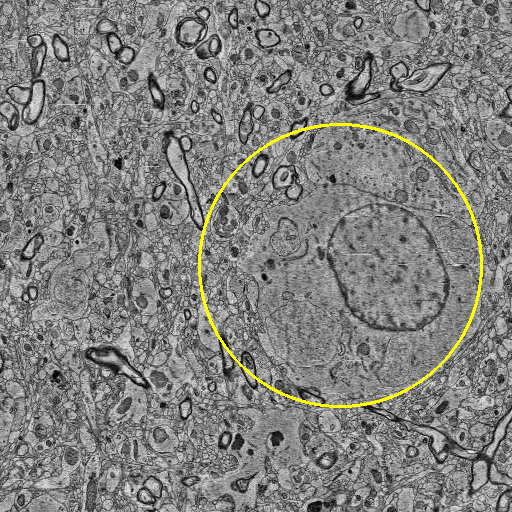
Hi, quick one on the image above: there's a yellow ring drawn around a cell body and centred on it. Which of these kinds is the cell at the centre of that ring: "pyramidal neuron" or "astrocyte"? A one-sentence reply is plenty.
The cell at the centre of the ring is an astrocyte.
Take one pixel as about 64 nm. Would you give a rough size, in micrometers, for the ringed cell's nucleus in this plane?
About 9 micrometres by about 7 micrometres in this plane.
